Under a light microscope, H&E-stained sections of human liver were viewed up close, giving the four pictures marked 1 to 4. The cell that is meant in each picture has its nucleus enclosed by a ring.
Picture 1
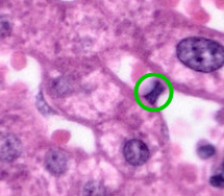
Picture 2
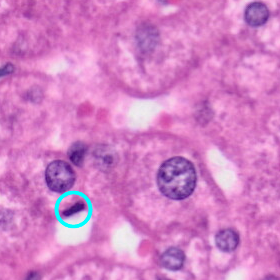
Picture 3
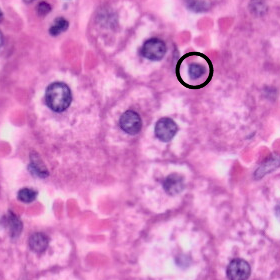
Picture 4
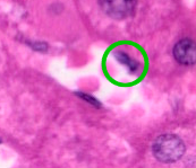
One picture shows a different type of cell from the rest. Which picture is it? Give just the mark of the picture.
3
